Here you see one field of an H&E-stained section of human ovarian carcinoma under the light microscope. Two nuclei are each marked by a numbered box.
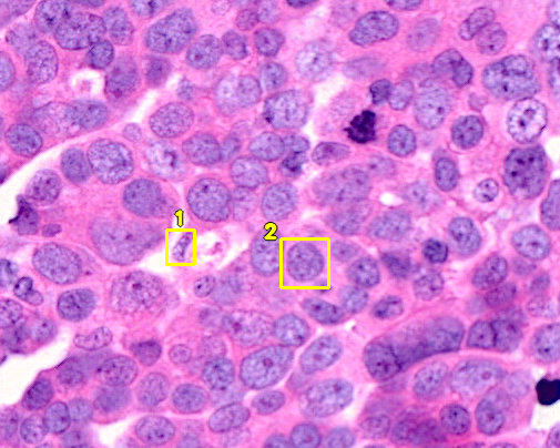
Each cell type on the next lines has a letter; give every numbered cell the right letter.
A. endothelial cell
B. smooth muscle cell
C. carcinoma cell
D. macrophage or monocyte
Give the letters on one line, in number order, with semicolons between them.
D; C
